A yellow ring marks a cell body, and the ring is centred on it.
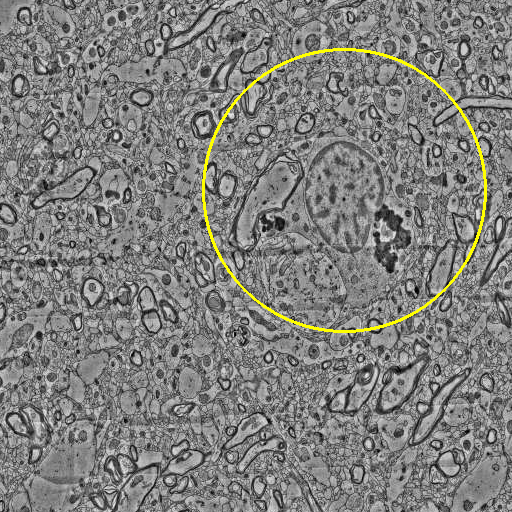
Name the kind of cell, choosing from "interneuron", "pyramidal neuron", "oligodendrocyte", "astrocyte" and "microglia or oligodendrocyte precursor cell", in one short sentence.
The marked cell body belongs to an oligodendrocyte.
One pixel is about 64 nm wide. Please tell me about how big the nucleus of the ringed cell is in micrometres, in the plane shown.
Approximately 7 micrometres long and 5 micrometres wide, in this plane.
